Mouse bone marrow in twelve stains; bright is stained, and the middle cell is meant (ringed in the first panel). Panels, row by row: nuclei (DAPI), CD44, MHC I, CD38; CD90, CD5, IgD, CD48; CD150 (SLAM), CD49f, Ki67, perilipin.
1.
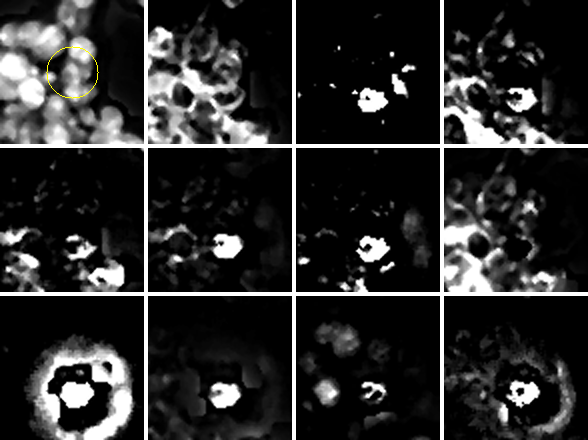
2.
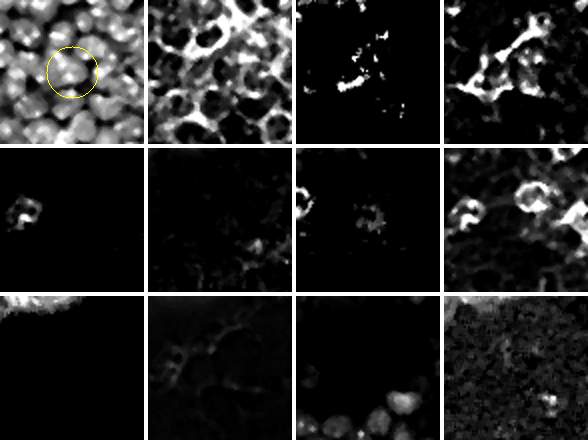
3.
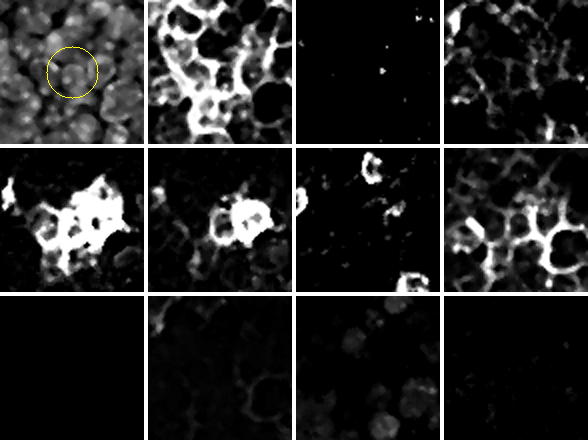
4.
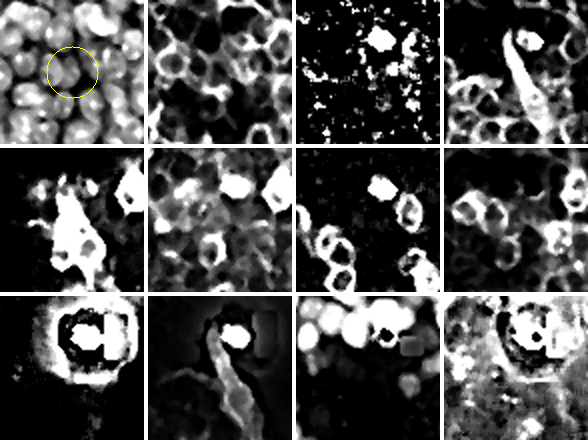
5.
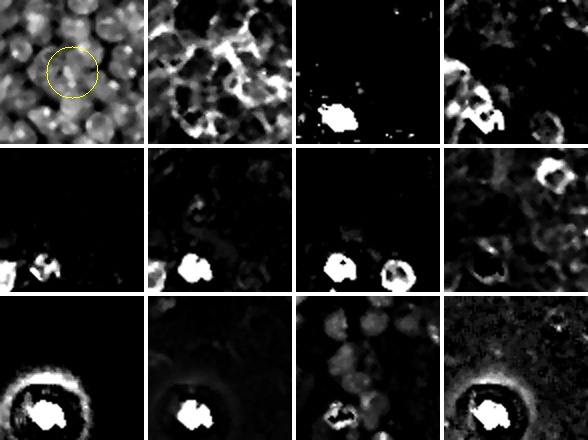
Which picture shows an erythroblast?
Picture 5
